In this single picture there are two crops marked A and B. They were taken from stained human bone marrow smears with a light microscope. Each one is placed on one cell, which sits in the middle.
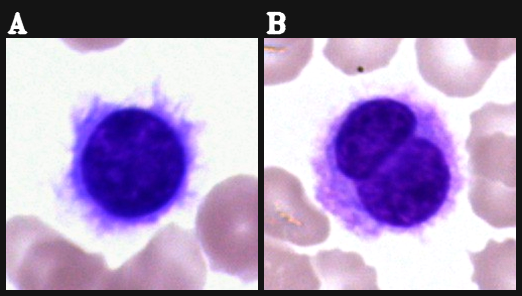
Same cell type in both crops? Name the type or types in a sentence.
Yes, hairy cells are seen in both crops.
